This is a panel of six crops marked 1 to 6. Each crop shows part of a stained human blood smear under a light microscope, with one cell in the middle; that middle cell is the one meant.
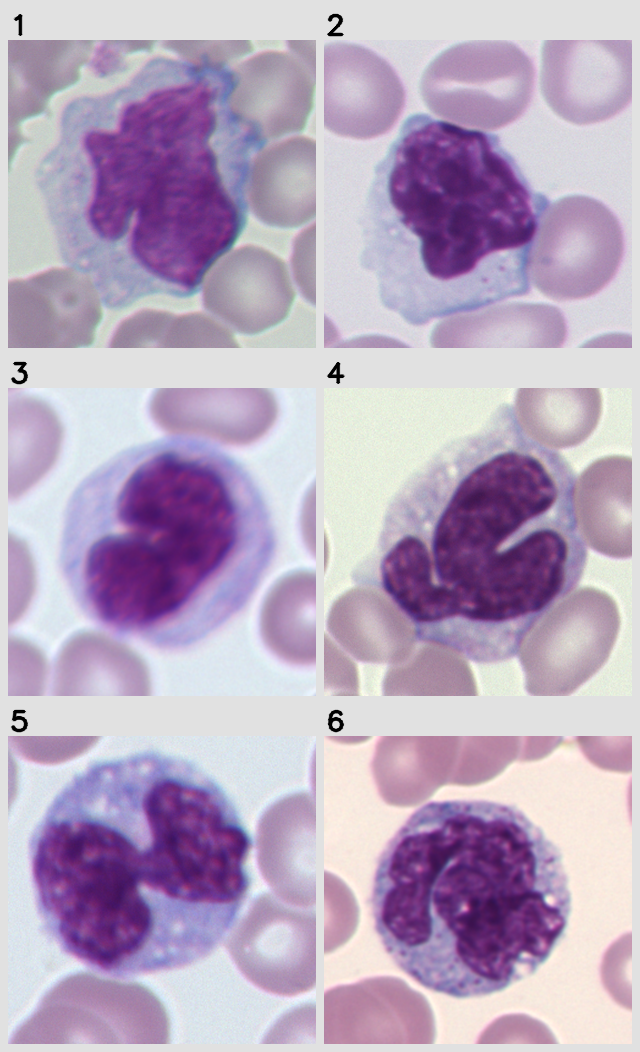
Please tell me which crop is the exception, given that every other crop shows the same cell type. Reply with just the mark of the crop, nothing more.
2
